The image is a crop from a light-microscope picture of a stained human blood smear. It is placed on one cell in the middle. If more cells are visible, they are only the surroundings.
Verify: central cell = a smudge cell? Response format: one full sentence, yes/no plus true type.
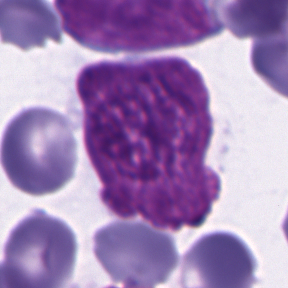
Yes, the crop is centred on a smudge cell.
